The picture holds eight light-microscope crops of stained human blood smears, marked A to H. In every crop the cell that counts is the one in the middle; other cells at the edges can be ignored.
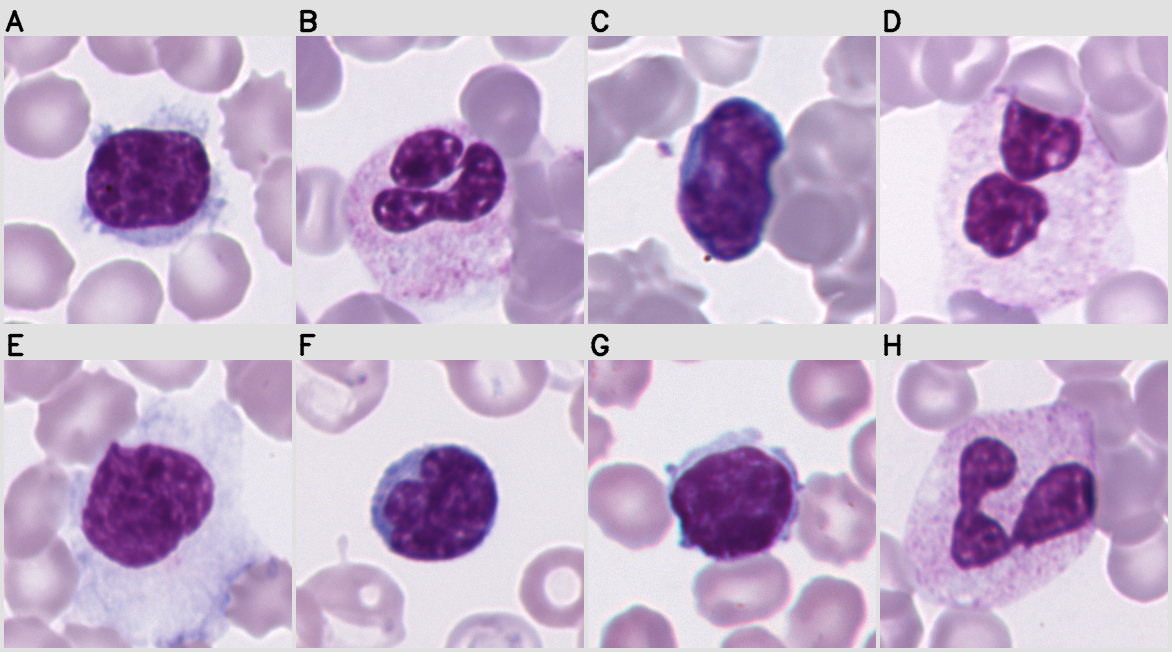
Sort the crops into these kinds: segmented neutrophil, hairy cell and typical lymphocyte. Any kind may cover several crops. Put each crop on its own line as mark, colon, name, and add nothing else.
A: hairy cell
B: segmented neutrophil
C: typical lymphocyte
D: segmented neutrophil
E: hairy cell
F: typical lymphocyte
G: typical lymphocyte
H: segmented neutrophil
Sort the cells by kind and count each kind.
segmented neutrophil: 3
typical lymphocyte: 3
hairy cell: 2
